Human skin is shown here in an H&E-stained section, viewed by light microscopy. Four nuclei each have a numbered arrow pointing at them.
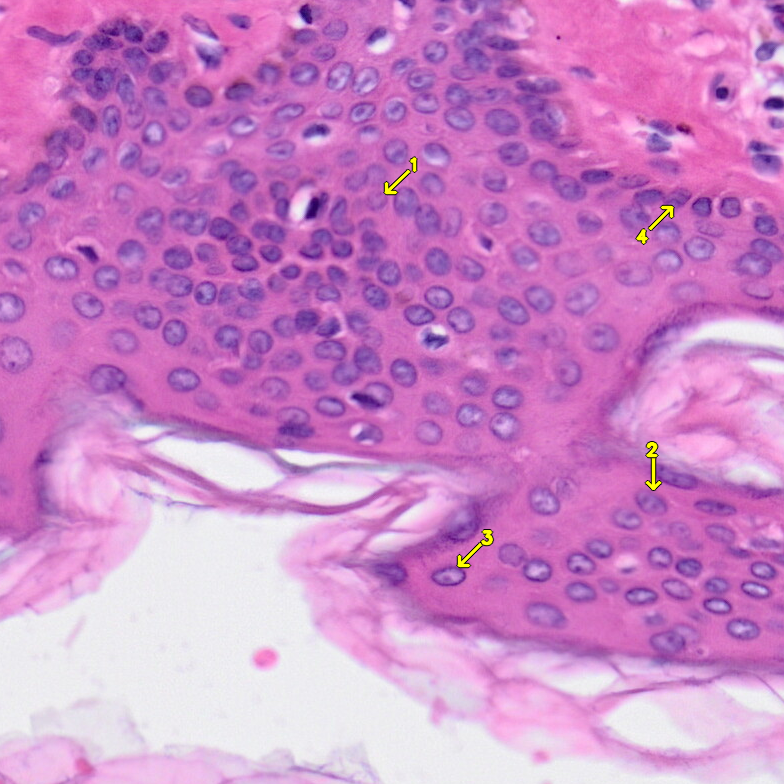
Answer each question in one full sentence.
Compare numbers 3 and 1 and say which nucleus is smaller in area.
With nucleus 3 about 2 times its size, nucleus 1 is the smaller of the two.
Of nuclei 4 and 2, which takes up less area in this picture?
The smaller nucleus is 4, and 2 covers roughly 1.5 times its area.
